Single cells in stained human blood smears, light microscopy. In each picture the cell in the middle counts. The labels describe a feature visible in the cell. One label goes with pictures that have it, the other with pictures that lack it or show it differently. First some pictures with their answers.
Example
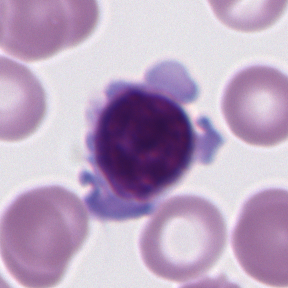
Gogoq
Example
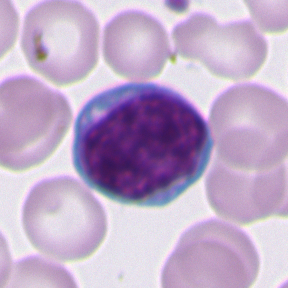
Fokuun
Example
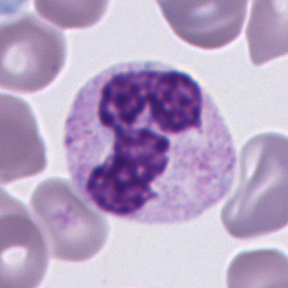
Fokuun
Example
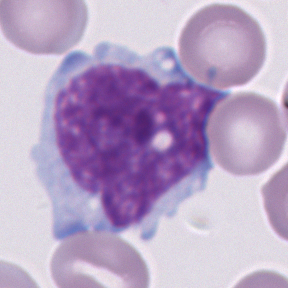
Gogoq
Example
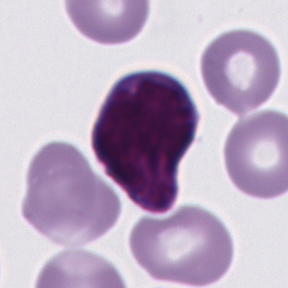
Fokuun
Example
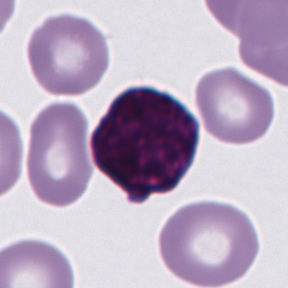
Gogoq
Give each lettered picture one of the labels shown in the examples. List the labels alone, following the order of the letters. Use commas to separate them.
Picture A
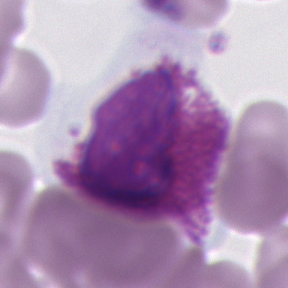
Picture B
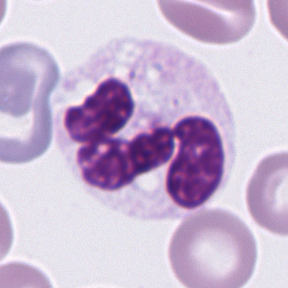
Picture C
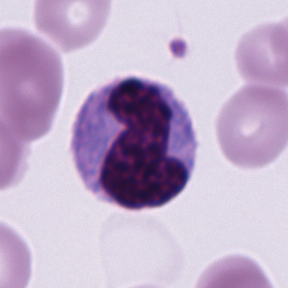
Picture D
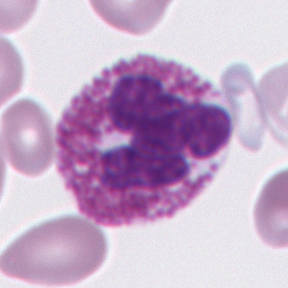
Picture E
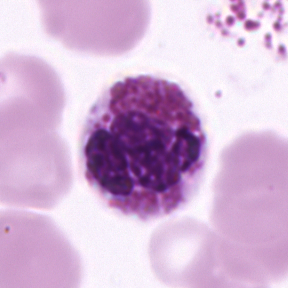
Gogoq, Fokuun, Fokuun, Fokuun, Fokuun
